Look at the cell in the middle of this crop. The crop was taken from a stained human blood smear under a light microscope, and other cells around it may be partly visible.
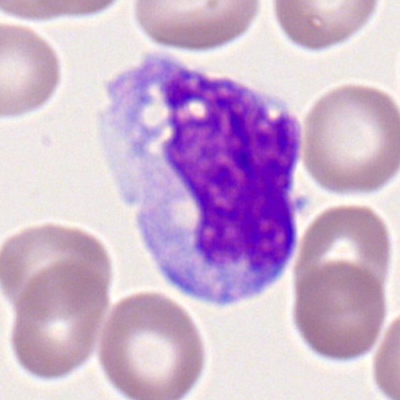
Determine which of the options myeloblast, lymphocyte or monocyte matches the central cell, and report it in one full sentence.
The central element of this crop is a cell, namely a monocyte.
